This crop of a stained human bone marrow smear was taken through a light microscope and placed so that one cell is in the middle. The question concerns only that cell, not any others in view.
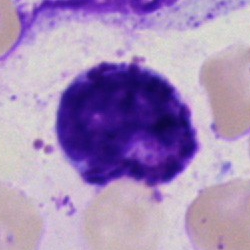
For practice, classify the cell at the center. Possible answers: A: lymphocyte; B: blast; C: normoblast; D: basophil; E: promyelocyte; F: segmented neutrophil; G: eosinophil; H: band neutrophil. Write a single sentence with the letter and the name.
As the central cell is a basophil, option D is correct.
